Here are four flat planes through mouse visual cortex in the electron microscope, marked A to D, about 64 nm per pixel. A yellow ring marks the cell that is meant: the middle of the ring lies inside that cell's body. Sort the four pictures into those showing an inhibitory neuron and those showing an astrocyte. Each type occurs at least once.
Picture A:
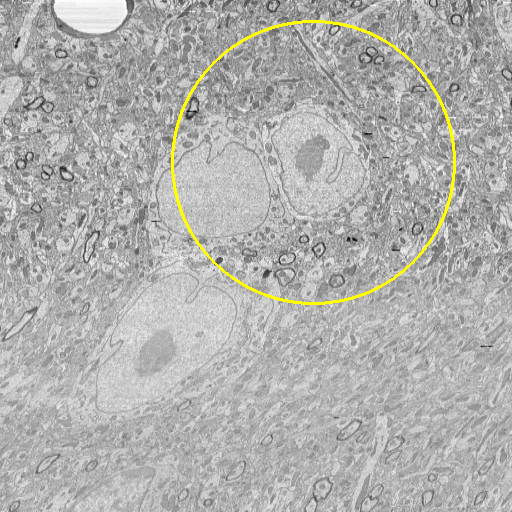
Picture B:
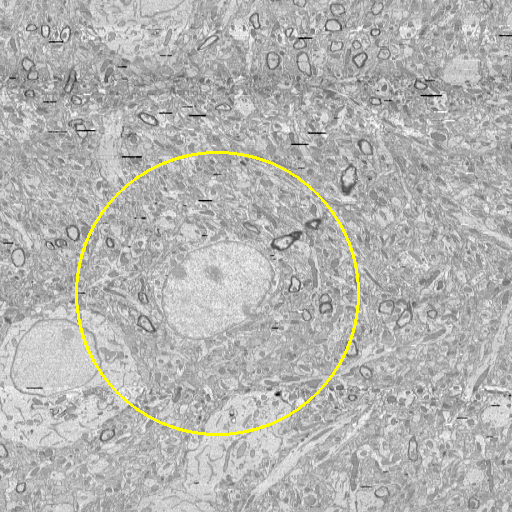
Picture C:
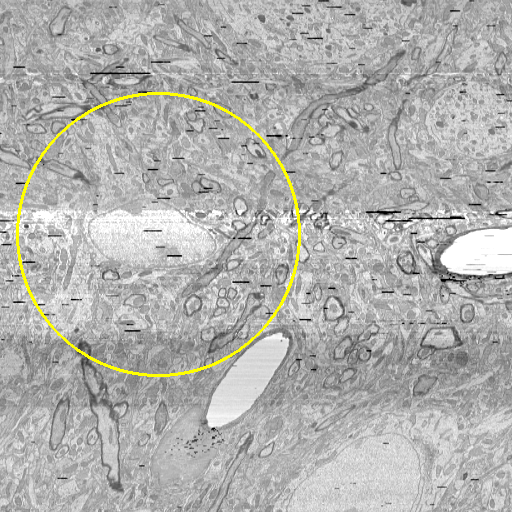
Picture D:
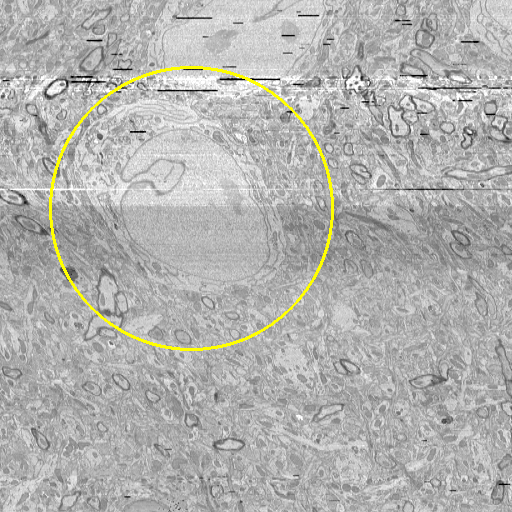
Pictures A and D show inhibitory neurons; pictures B and C show astrocytes.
